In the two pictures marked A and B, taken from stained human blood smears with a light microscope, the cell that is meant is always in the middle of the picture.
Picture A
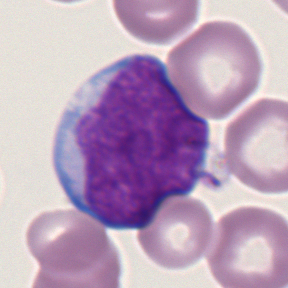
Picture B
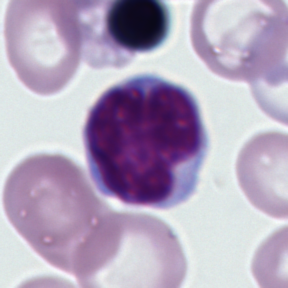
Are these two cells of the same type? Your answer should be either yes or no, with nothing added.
no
